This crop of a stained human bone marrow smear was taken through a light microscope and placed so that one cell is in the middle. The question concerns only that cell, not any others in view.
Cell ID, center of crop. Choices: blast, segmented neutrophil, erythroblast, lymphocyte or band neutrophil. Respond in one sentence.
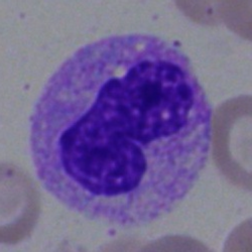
The cell around which this crop is centred is a band neutrophil.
